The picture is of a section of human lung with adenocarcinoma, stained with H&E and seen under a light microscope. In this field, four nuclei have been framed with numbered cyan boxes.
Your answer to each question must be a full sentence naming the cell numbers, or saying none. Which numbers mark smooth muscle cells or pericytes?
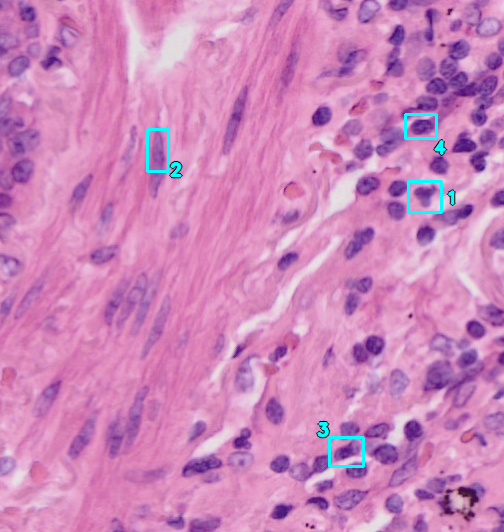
Only at number 2 is there a smooth muscle cell or pericyte.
